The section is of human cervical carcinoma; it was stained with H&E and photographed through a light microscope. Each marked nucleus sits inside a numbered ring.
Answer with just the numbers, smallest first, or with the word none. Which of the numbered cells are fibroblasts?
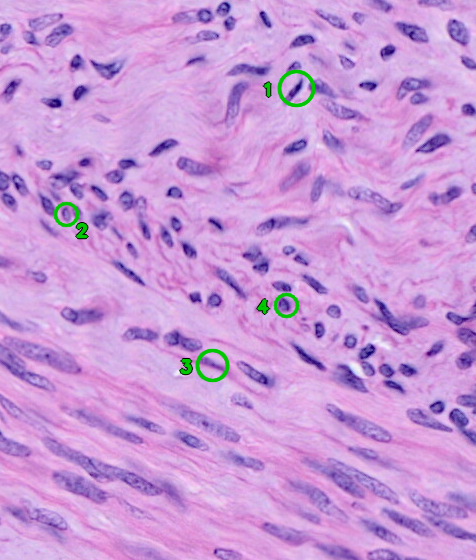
1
